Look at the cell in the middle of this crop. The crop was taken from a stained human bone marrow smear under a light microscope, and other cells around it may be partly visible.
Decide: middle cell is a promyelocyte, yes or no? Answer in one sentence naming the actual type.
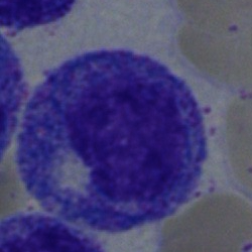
Yes, the cell of interest in the middle is a promyelocyte.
